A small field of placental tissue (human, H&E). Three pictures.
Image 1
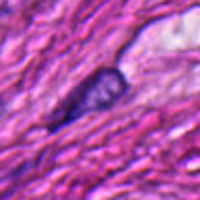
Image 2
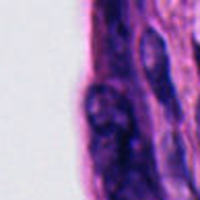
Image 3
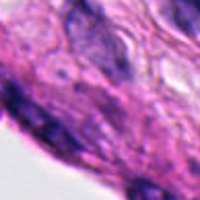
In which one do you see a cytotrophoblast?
In picture 3.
